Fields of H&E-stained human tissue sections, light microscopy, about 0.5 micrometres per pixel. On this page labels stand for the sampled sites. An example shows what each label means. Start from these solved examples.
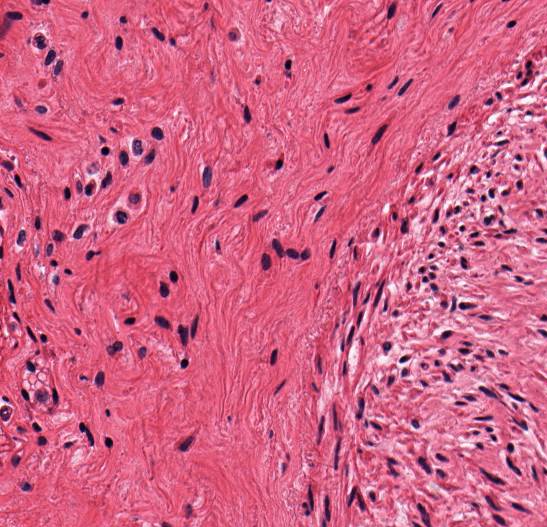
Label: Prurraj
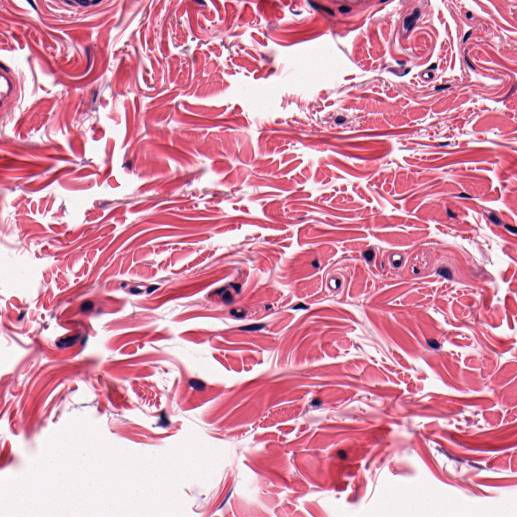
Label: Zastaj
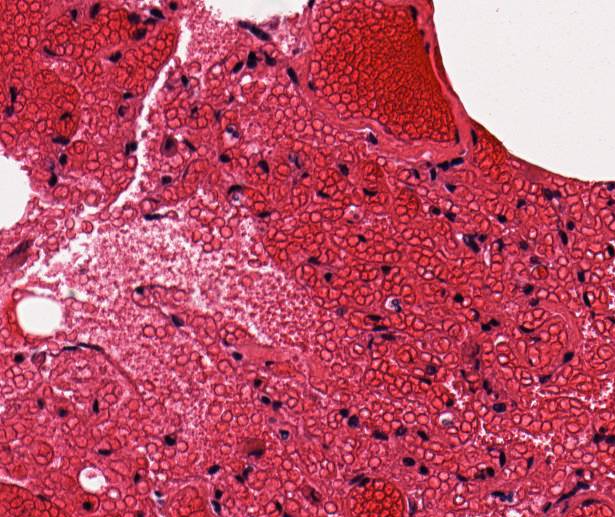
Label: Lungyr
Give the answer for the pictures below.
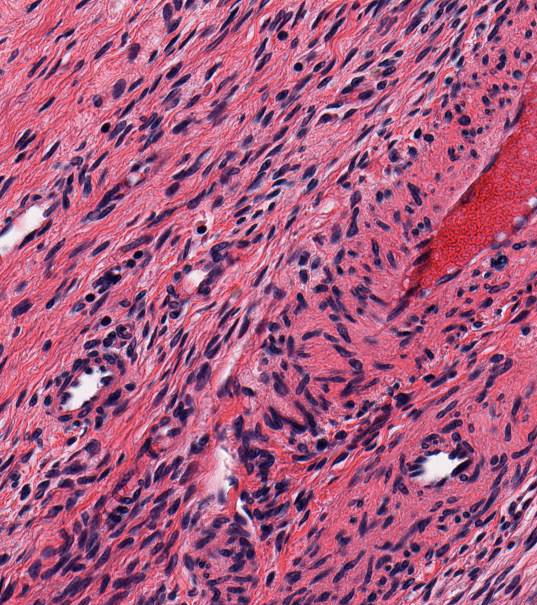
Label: Prurraj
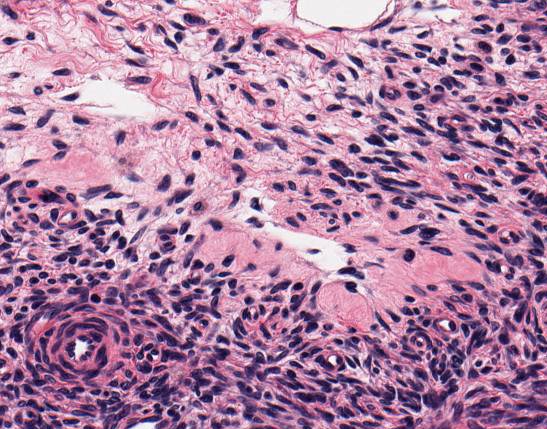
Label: Prurraj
